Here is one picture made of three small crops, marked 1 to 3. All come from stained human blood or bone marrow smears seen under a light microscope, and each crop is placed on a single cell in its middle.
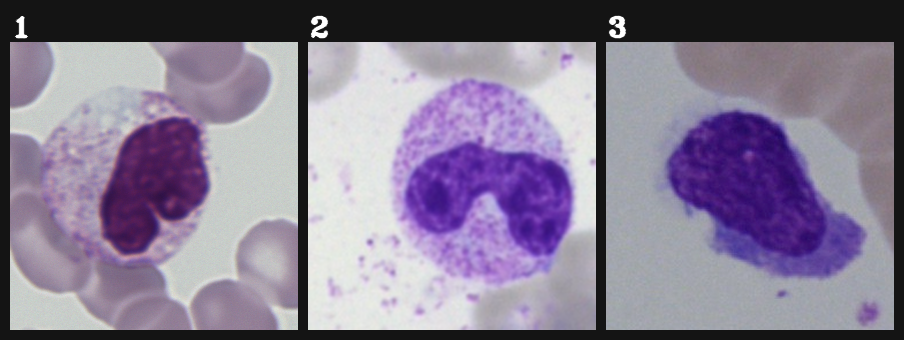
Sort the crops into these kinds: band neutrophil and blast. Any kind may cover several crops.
1: band neutrophil
2: band neutrophil
3: blast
